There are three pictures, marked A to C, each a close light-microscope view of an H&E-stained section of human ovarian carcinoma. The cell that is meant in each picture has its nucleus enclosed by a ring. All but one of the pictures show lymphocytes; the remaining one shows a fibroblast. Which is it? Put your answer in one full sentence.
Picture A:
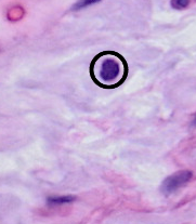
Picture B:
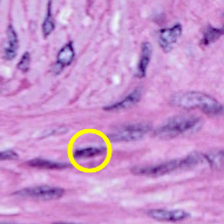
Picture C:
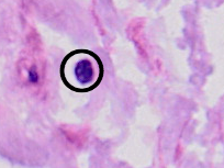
It is picture B that shows the fibroblast.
